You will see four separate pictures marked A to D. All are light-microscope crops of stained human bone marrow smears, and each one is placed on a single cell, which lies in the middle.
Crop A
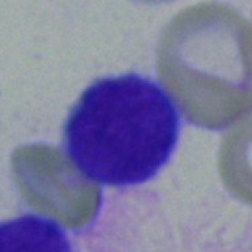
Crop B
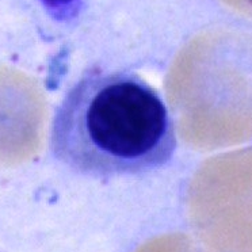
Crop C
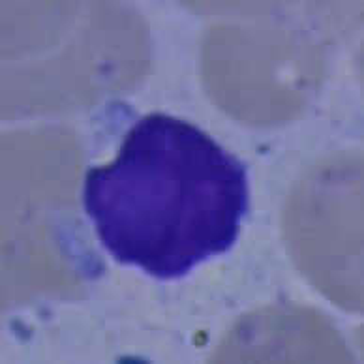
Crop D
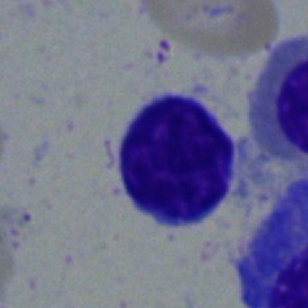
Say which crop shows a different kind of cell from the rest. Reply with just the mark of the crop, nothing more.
B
